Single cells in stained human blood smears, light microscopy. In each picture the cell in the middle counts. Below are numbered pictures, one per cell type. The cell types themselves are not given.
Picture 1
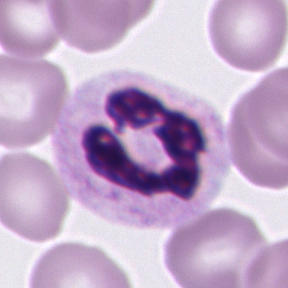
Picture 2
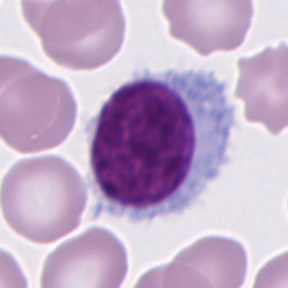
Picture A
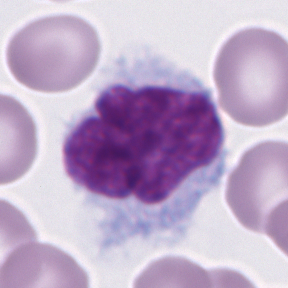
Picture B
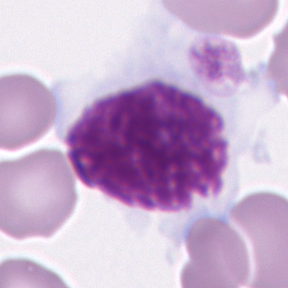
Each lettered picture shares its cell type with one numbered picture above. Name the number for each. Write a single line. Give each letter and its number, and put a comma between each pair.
A 2, B 2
